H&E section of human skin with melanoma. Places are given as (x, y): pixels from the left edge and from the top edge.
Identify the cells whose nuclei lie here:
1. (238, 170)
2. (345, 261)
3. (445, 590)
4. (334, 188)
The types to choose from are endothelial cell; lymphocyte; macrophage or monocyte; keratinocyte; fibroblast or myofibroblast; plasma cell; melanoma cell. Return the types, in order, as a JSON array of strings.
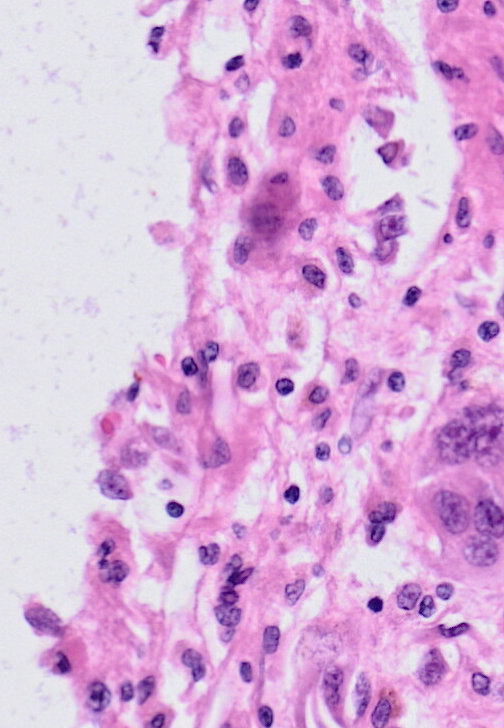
["macrophage or monocyte", "macrophage or monocyte", "lymphocyte", "macrophage or monocyte"]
